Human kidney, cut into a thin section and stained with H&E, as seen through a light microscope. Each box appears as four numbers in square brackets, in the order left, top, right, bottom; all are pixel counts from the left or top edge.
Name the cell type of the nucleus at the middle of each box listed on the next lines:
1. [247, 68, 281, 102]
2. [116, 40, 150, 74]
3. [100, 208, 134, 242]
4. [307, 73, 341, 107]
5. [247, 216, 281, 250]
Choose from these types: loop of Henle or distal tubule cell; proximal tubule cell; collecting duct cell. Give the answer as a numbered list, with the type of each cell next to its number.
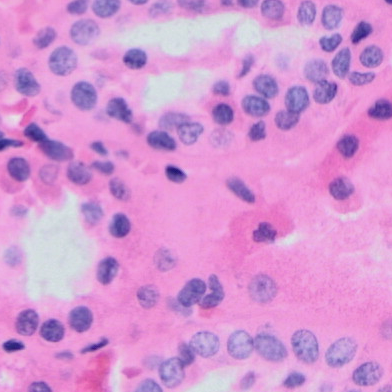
1. collecting duct cell
2. collecting duct cell
3. loop of Henle or distal tubule cell
4. collecting duct cell
5. proximal tubule cell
